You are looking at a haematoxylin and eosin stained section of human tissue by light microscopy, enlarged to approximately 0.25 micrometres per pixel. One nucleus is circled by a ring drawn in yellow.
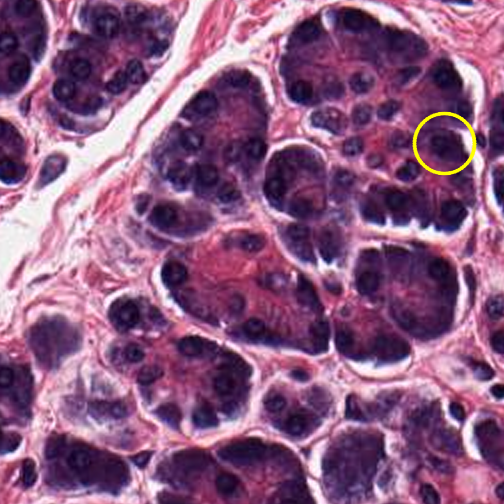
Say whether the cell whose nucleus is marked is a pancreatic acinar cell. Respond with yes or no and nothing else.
yes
